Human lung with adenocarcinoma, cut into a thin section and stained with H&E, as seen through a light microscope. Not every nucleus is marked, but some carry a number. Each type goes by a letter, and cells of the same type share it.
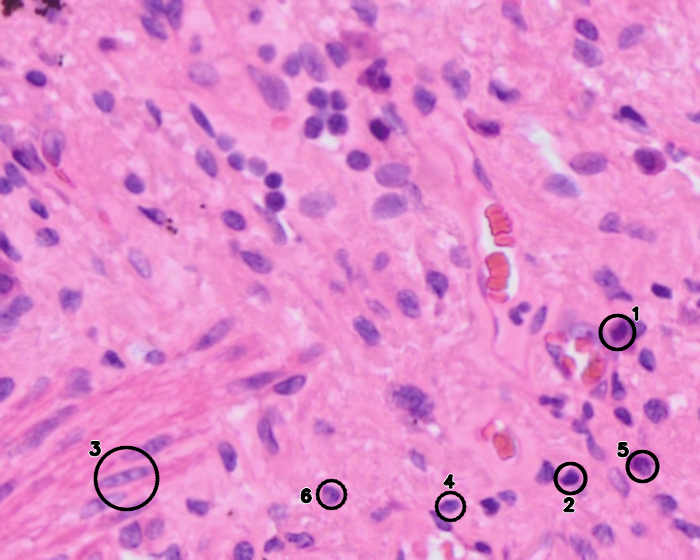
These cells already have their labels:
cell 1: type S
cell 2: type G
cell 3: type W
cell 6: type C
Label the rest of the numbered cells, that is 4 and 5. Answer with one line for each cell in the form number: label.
4: type G
5: type S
